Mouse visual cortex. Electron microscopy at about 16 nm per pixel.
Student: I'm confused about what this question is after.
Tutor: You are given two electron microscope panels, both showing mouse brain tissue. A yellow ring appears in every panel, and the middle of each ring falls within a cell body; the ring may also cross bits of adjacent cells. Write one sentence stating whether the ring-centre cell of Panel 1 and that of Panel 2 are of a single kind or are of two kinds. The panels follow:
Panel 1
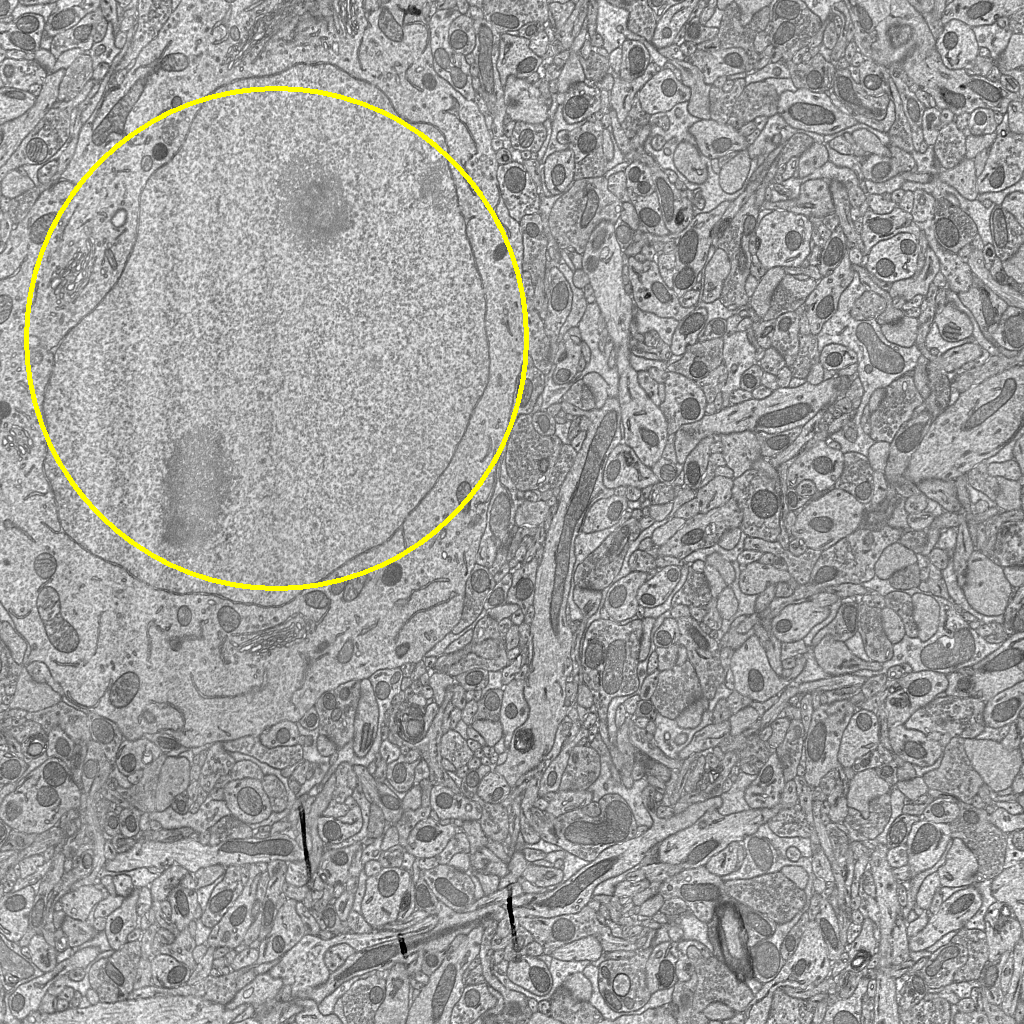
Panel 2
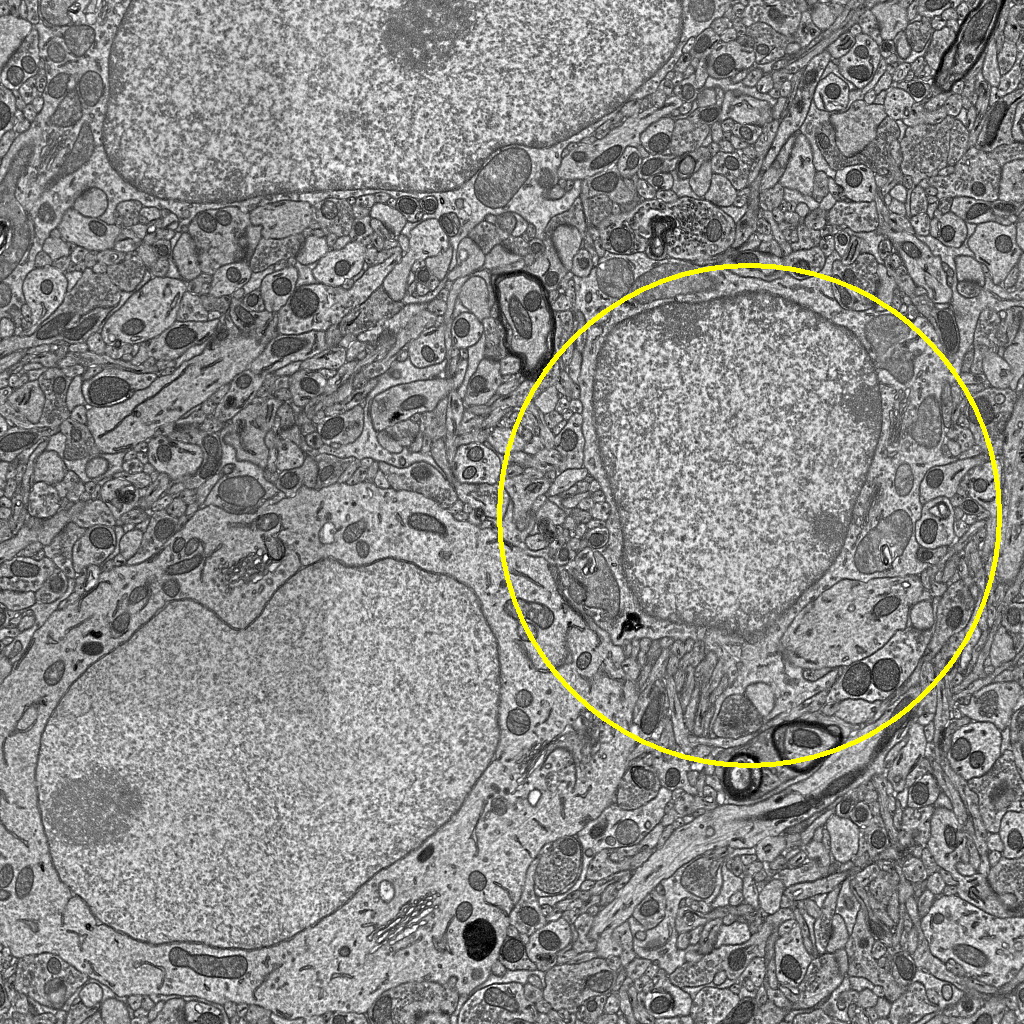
Here, the Panel 1 ring-centre cell and the Panel 2 ring-centre cell are of two kinds.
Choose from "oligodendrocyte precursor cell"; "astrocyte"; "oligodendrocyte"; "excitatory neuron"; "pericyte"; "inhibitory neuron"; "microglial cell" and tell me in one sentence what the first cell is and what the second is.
In the first picture it is an excitatory neuron; in the second it is an astrocyte.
